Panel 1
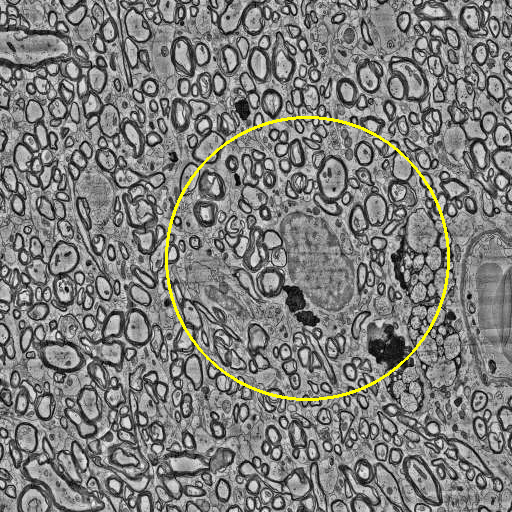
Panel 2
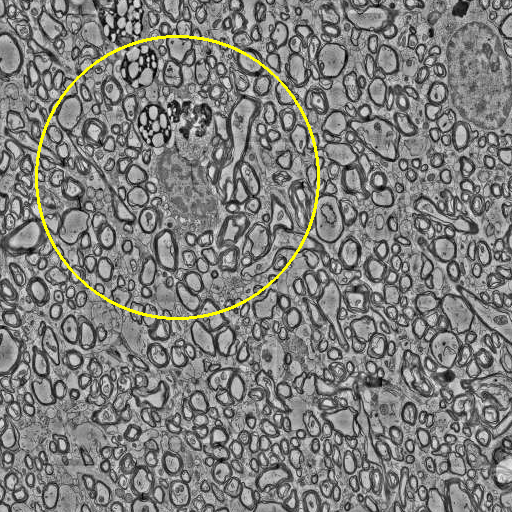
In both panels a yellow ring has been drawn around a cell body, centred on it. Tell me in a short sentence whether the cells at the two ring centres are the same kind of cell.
No, they are two kinds of cell.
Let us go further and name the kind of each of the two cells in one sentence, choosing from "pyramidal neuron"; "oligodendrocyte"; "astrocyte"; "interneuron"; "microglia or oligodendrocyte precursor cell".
The ring of the first picture is on an oligodendrocyte, the ring of the second on an astrocyte.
